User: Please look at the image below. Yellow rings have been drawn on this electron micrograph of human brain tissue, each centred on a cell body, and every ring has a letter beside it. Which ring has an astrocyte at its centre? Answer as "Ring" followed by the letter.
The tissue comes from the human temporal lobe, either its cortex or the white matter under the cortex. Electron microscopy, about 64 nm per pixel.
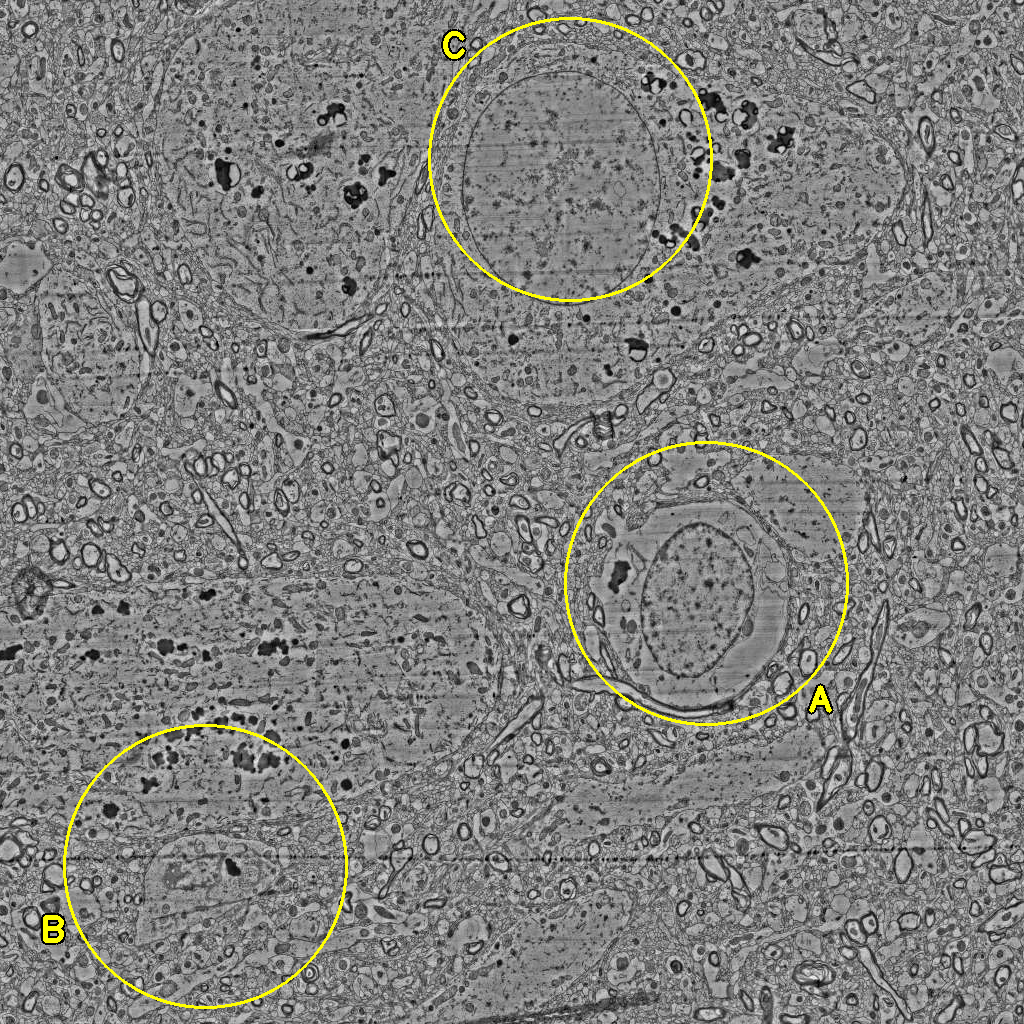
Ring A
